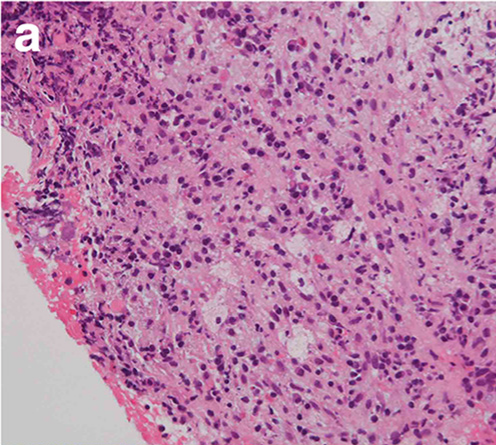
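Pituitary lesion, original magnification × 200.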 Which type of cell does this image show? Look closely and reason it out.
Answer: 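Many small, round, dark-purple nuclei are packed densely across the field. These small round nuclei lie scattered among oval and spindle-shaped nuclei in a pale pink stroma.
Inflammatory cells.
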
